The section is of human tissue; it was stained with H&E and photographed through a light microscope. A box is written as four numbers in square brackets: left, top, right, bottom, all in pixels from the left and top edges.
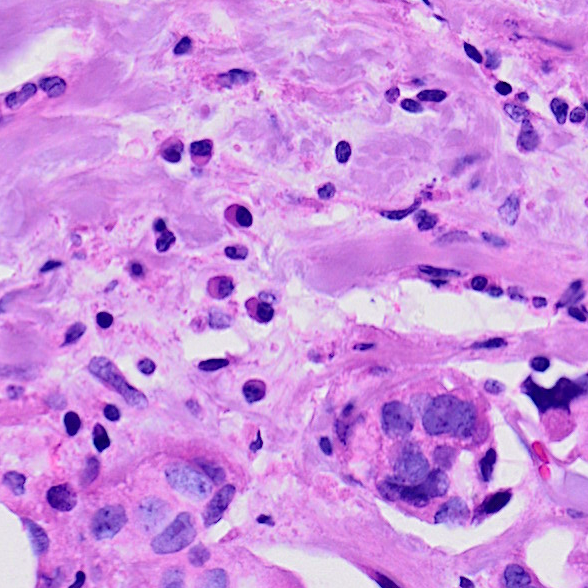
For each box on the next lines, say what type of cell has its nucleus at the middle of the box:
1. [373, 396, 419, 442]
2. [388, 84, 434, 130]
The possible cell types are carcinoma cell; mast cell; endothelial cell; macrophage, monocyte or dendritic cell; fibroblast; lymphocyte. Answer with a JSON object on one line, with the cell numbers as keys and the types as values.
{"1": "carcinoma cell", "2": "lymphocyte"}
